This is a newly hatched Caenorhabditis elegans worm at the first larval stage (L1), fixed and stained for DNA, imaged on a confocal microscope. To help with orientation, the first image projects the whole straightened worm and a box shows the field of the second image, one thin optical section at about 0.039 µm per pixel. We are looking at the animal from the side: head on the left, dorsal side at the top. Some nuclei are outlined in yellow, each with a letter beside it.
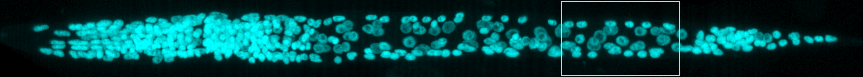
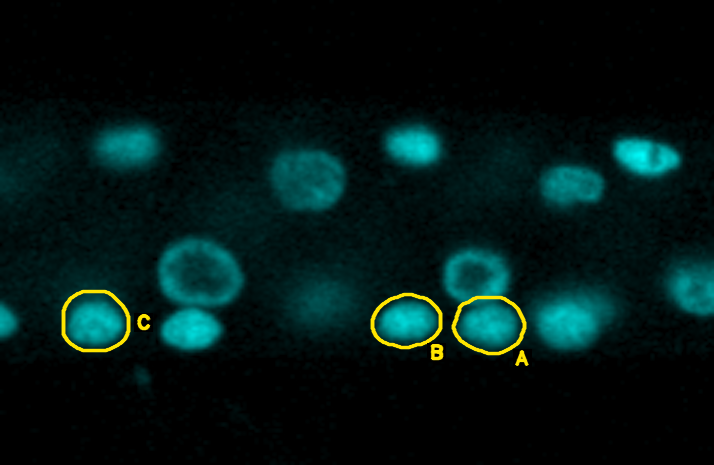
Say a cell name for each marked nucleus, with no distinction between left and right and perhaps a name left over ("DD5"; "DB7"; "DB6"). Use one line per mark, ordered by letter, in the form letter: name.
A: DB7
B: DD5
C: DB6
